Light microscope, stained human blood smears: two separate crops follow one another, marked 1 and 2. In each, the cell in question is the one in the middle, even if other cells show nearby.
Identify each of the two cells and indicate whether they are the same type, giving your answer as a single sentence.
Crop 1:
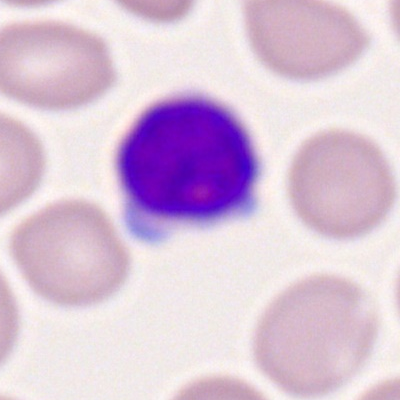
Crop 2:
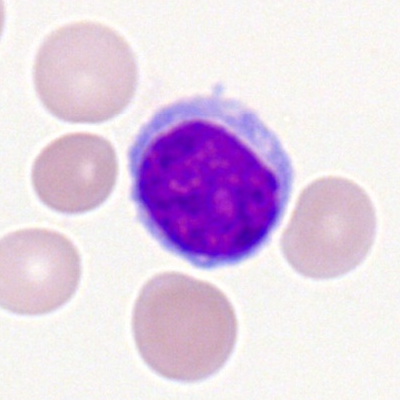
Yes, both crops show lymphocytes as their central cells.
